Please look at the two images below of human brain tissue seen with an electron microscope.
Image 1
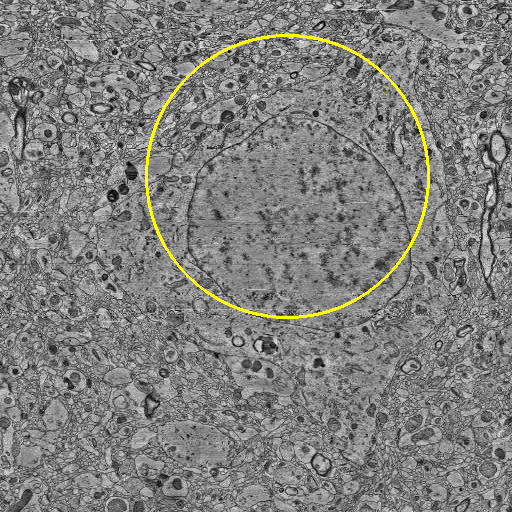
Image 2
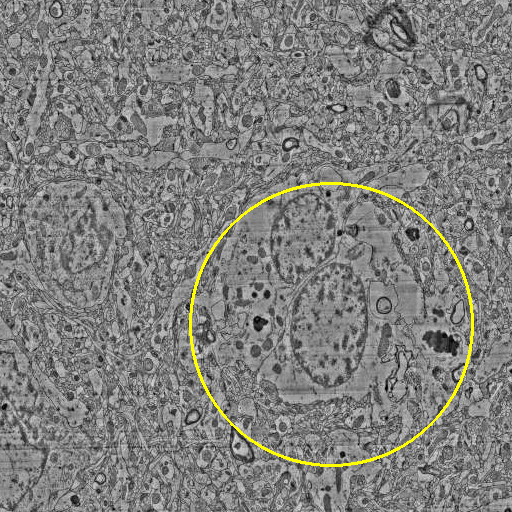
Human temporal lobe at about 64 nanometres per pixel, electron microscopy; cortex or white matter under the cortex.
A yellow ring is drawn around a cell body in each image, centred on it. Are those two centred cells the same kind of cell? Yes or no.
no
